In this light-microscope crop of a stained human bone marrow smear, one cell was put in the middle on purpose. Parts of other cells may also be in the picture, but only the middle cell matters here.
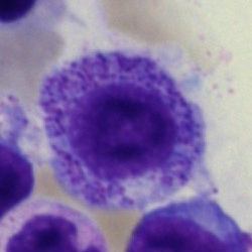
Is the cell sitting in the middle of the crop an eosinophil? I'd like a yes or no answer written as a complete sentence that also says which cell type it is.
No, looking at the central cell, it is a myelocyte rather than an eosinophil.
